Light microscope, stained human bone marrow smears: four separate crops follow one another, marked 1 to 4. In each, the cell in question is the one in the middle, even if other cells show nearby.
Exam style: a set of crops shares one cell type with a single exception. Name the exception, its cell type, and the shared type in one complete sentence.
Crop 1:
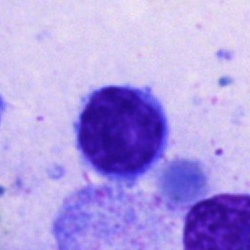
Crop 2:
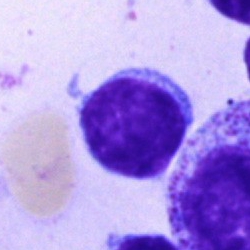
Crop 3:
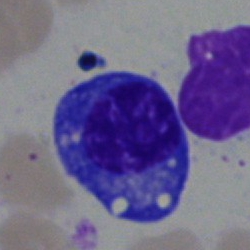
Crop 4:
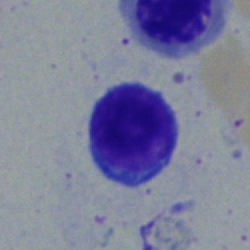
In this set the other crops all show lymphocytes, and crop 3 shows a plasma cell.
